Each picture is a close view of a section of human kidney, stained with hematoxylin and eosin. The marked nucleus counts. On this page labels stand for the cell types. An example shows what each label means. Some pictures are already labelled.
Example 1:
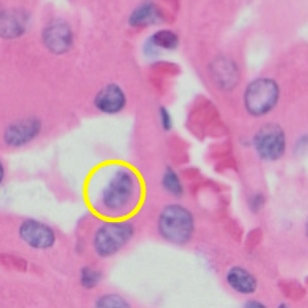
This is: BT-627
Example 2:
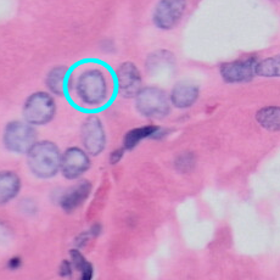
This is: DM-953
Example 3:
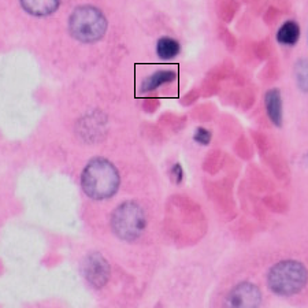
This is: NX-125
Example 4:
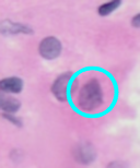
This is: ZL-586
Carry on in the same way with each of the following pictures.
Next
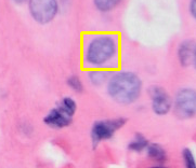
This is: DM-953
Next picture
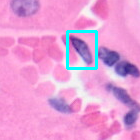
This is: NX-125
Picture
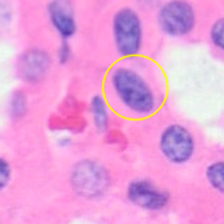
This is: DM-953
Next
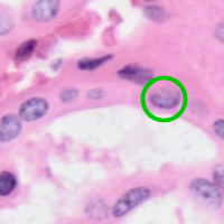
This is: DM-953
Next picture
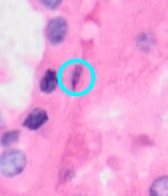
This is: NX-125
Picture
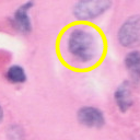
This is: BT-627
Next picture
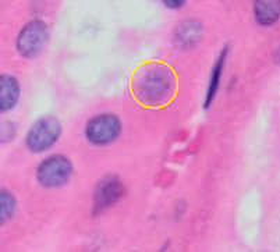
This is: BT-627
